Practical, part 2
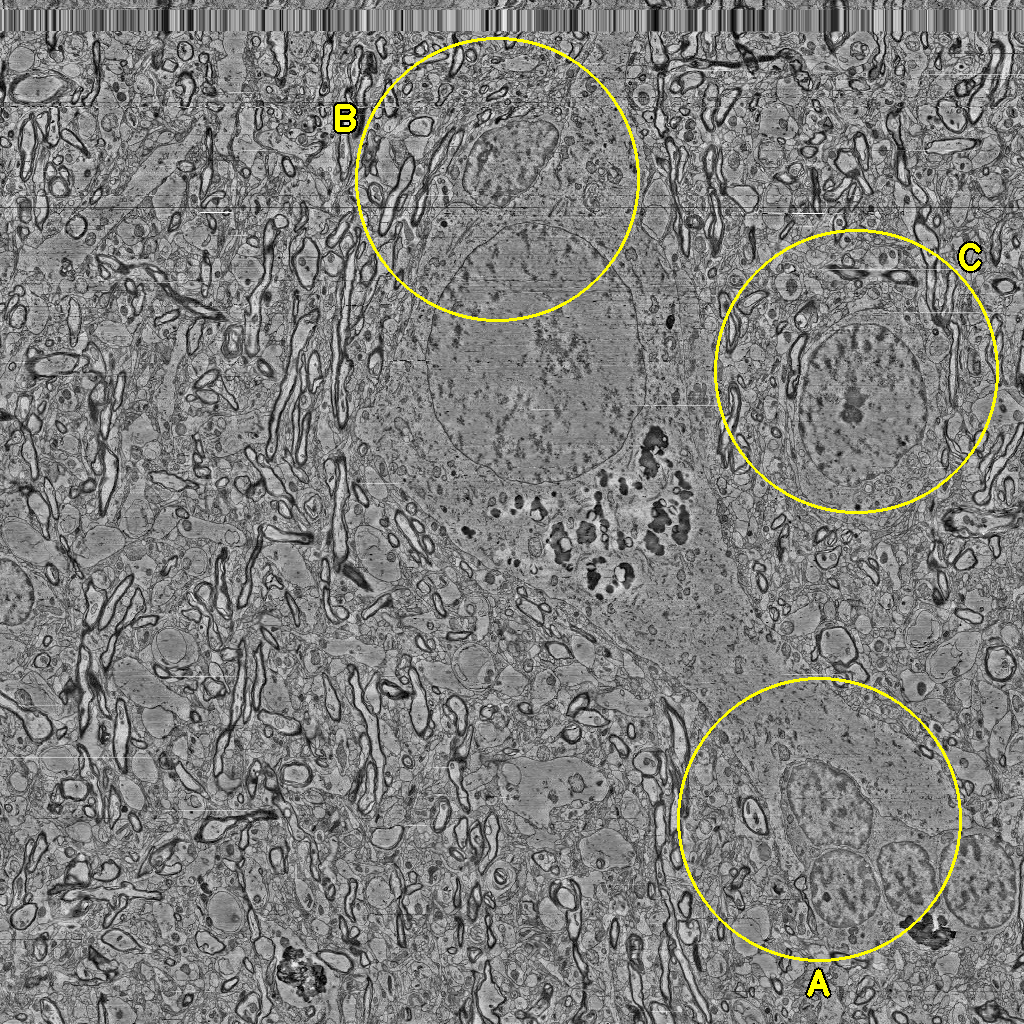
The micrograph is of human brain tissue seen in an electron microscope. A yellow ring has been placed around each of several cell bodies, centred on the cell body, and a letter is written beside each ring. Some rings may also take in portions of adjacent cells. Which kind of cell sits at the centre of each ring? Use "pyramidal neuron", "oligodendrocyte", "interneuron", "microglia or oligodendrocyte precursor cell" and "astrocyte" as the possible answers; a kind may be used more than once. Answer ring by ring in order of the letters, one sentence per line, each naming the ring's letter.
Ring A sits on an oligodendrocyte.
Ring B sits on an oligodendrocyte.
Ring C sits on an interneuron.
